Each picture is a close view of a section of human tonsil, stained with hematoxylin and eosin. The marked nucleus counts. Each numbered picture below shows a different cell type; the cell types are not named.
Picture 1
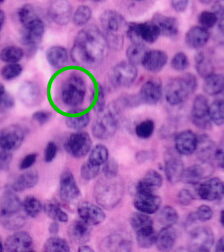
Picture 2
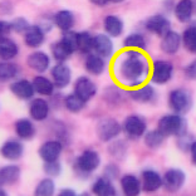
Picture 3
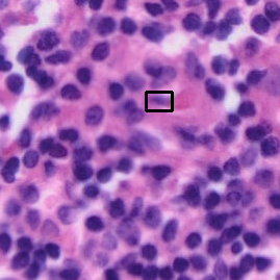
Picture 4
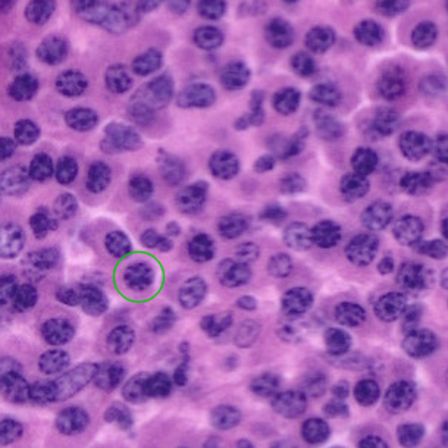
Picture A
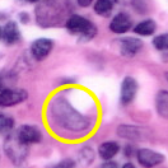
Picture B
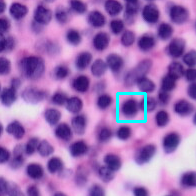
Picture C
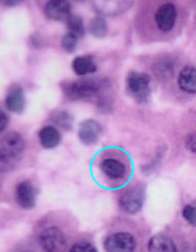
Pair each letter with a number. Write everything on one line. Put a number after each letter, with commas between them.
A 3, B 2, C 4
